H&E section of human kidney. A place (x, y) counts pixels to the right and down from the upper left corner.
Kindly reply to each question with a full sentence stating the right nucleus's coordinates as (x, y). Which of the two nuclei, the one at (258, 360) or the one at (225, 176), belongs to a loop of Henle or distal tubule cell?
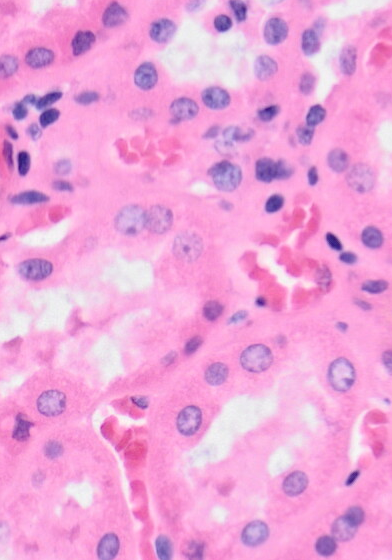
The nucleus at (225, 176) is the one of the two that belongs to a loop of Henle or distal tubule cell.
